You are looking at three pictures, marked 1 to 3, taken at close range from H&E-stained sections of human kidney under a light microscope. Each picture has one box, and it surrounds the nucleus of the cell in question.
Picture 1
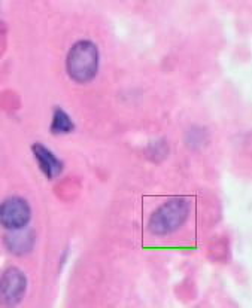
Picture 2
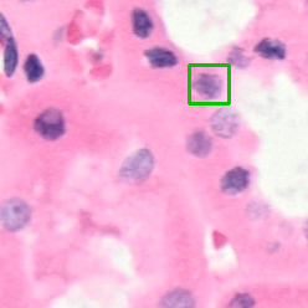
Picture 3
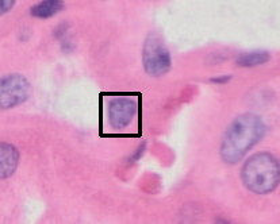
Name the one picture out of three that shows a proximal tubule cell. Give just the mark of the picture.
1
